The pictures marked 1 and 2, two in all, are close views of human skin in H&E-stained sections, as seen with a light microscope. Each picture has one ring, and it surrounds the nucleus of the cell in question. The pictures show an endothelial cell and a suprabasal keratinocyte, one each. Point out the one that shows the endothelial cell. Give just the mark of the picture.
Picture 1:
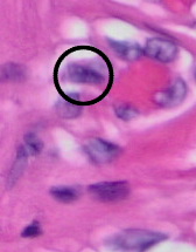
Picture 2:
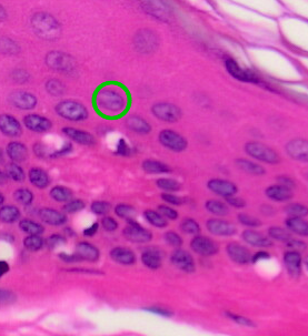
1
